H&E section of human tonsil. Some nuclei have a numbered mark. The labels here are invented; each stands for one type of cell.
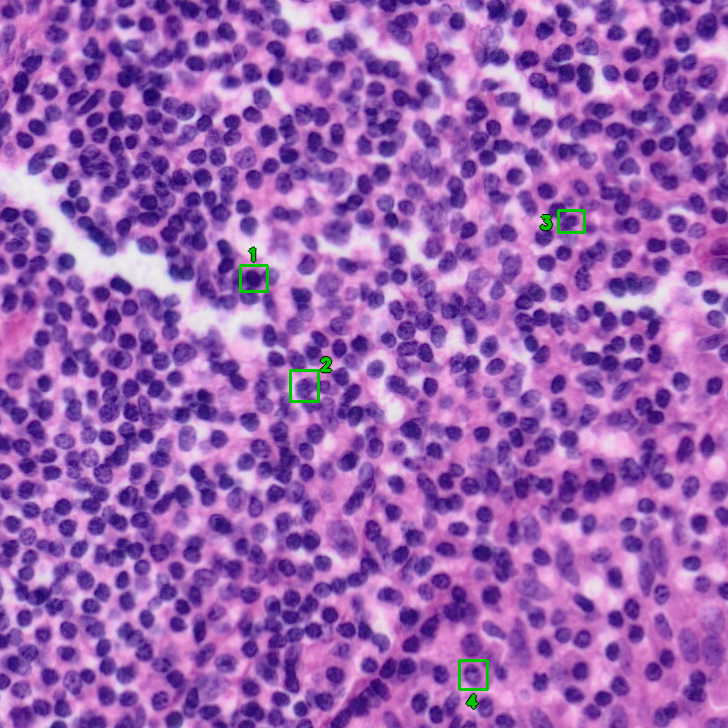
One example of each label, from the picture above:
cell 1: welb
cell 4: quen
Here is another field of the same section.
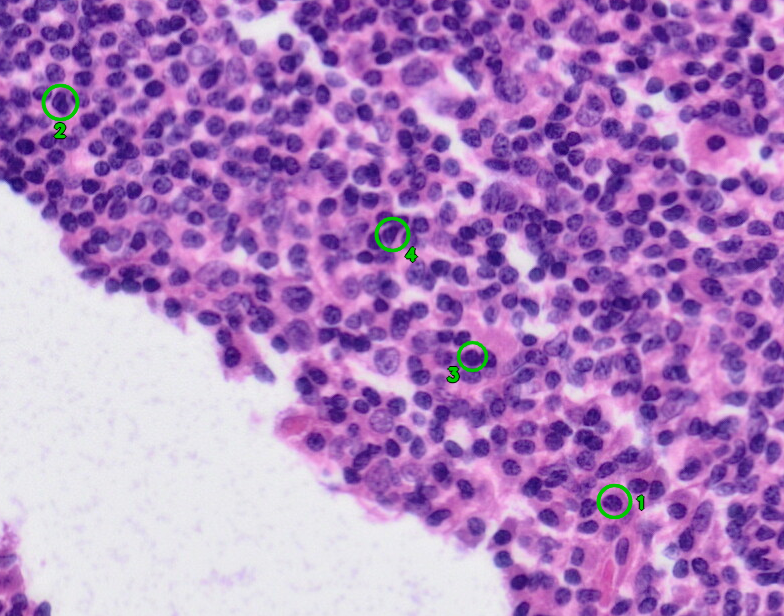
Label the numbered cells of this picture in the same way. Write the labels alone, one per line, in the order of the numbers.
quen
welb
welb
welb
